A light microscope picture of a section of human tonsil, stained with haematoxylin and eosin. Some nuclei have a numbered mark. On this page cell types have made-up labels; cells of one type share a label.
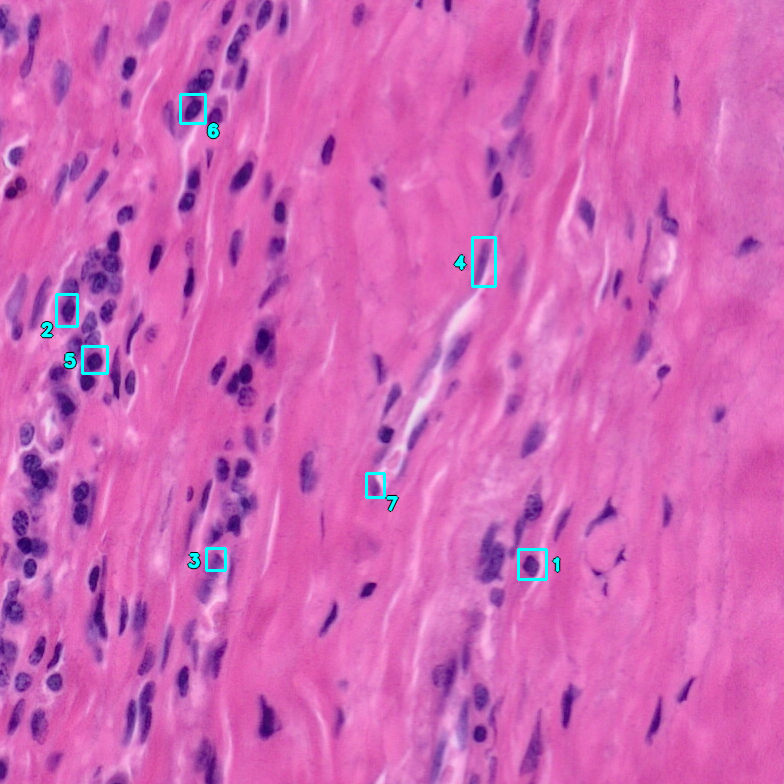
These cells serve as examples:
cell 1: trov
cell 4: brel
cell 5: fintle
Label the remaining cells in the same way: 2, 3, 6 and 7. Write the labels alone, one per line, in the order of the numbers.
fintle
brel
fintle
brel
